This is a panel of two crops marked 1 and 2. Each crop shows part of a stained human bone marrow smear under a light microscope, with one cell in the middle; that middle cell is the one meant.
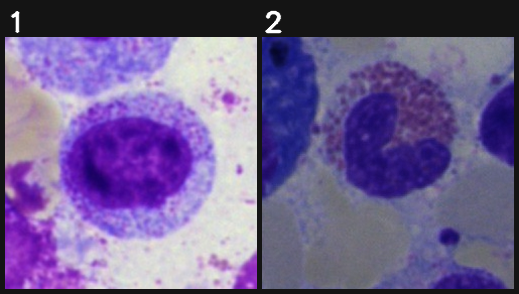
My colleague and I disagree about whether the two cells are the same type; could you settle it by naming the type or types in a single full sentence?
No, a myelocyte is the cell in crop 1; an eosinophil is the cell in crop 2.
